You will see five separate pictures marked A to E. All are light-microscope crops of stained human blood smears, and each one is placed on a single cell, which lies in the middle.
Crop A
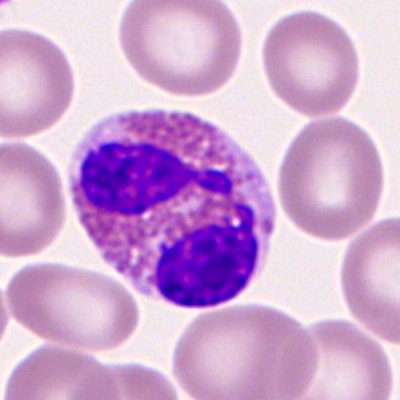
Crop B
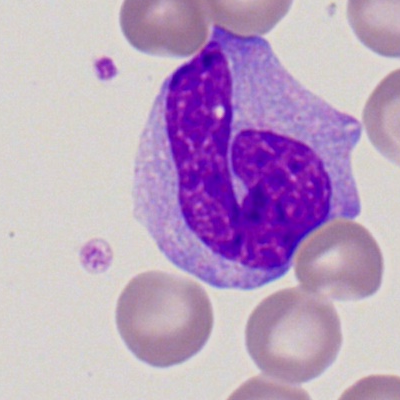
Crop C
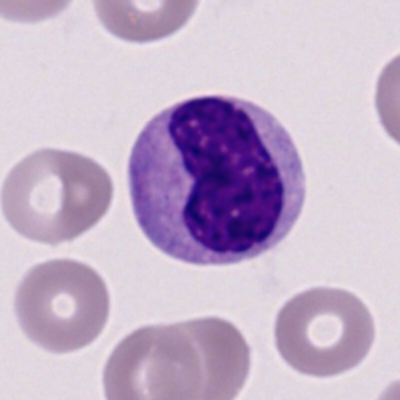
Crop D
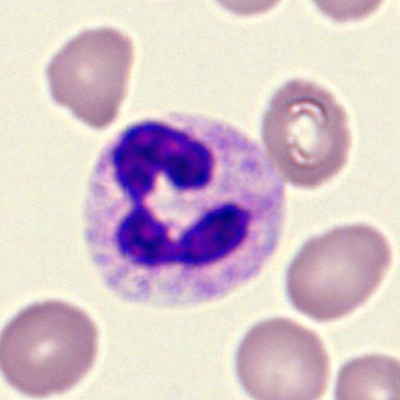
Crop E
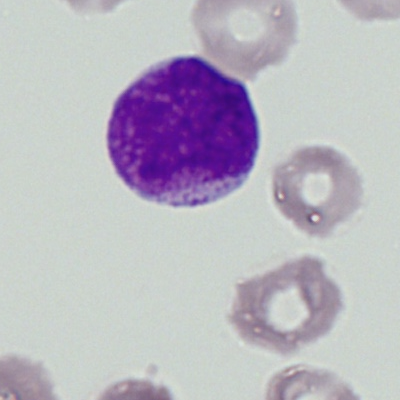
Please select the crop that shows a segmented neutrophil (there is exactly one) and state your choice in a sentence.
Of the cells presented, the one in crop D is a segmented neutrophil.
